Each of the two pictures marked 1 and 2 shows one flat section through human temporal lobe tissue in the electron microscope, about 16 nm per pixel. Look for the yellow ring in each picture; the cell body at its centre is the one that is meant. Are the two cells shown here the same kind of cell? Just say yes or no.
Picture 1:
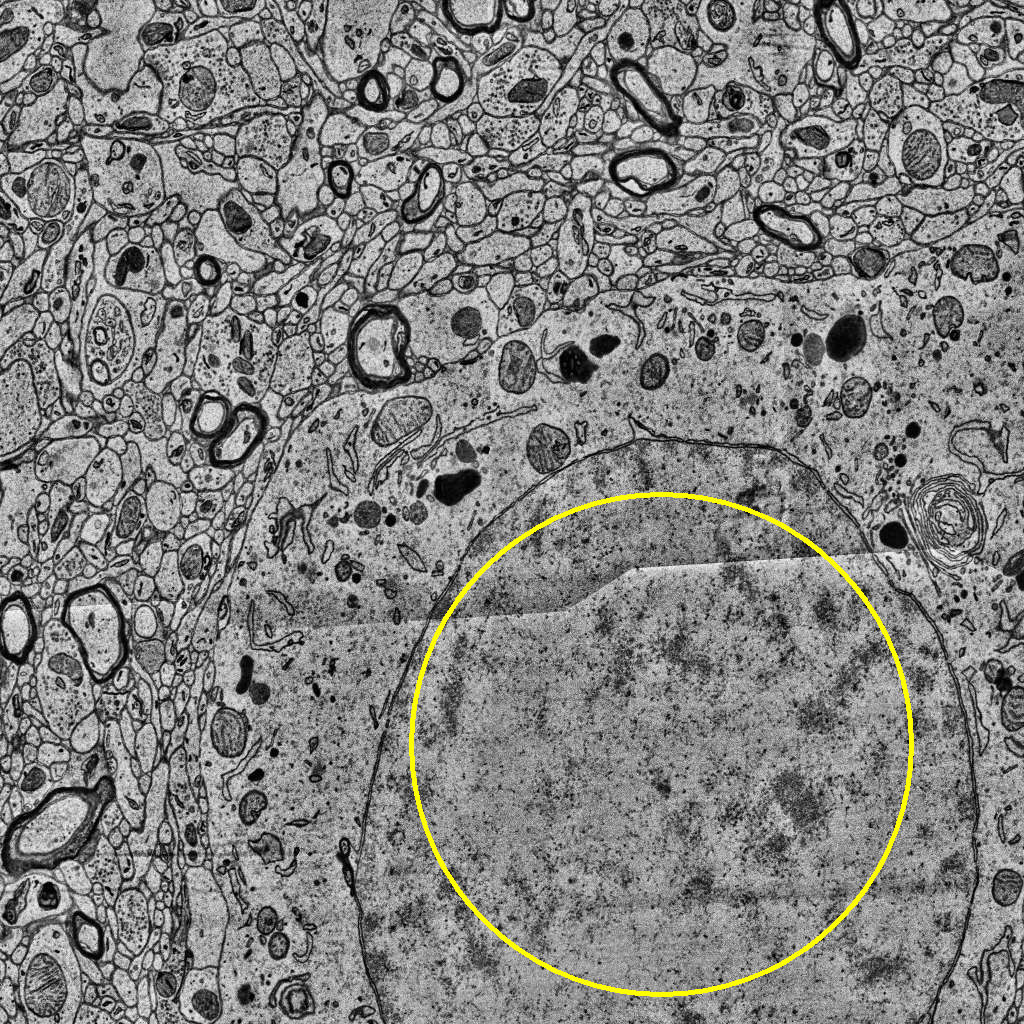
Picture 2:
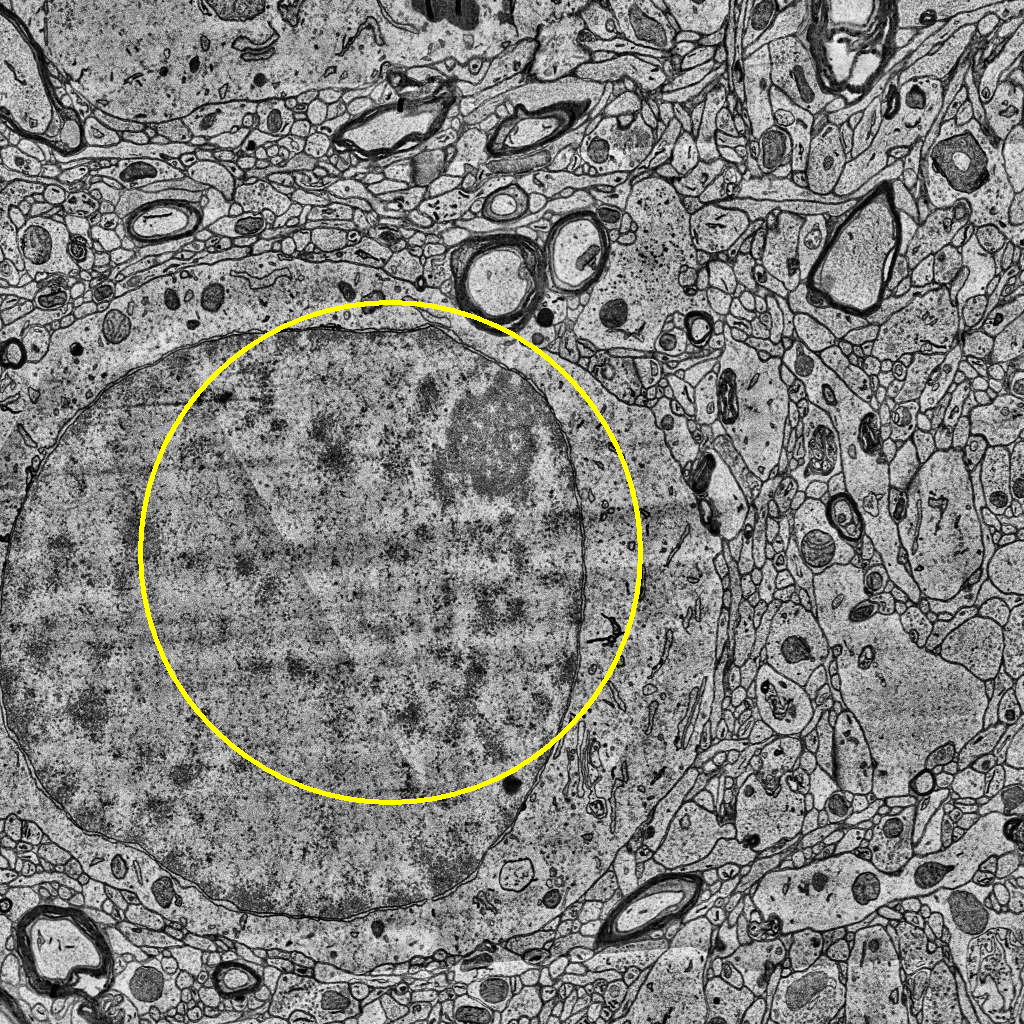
no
